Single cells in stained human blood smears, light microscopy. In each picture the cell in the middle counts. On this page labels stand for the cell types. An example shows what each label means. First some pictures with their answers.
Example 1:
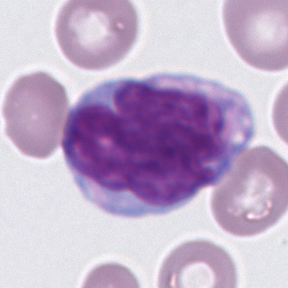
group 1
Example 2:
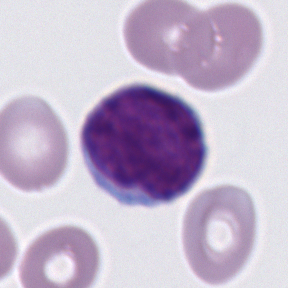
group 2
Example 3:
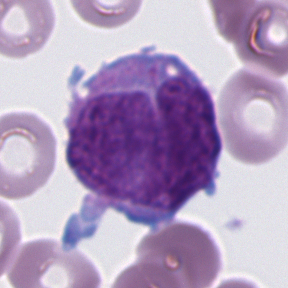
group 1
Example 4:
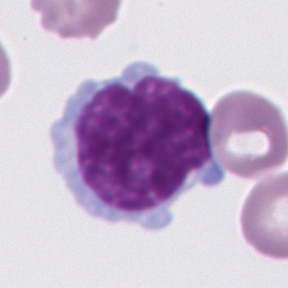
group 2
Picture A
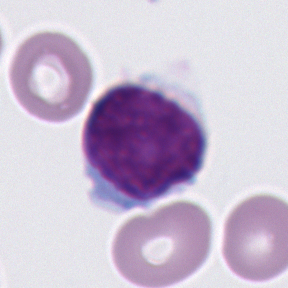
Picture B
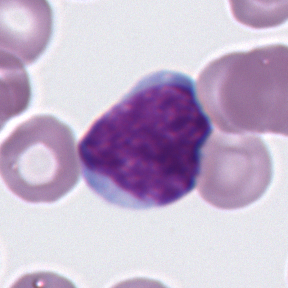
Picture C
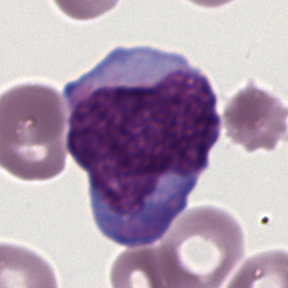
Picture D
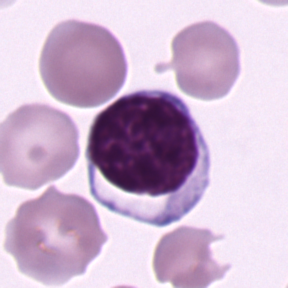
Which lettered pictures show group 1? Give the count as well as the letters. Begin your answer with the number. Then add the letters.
Count: 1 (C)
